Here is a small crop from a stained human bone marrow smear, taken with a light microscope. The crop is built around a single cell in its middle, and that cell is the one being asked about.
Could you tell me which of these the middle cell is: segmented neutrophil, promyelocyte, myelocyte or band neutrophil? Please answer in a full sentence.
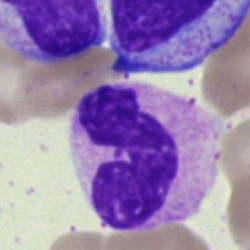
The cell positioned in the middle of the field is a segmented neutrophil.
